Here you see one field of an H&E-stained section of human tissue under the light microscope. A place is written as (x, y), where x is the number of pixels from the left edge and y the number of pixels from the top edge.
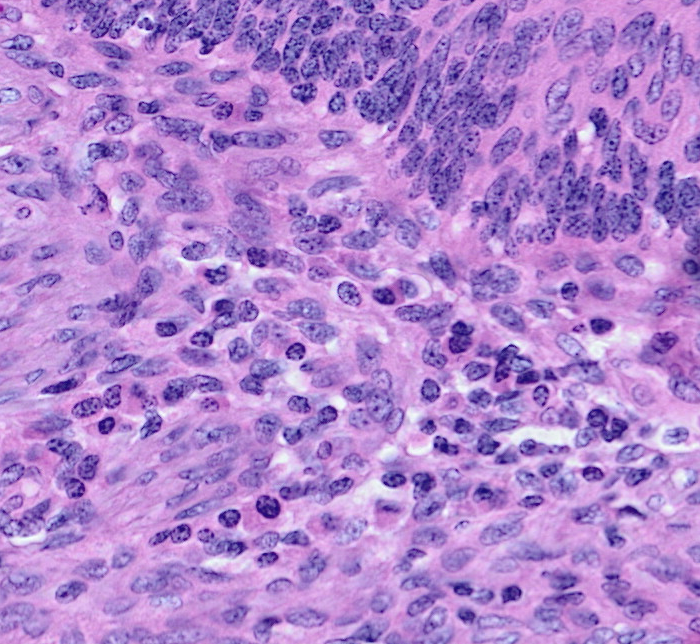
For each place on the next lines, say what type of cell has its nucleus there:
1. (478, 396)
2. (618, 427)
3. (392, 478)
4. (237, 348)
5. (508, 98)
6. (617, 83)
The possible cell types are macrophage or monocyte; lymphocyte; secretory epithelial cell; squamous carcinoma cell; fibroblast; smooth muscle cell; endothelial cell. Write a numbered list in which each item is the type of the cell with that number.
1. lymphocyte
2. lymphocyte
3. lymphocyte
4. lymphocyte
5. squamous carcinoma cell
6. squamous carcinoma cell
